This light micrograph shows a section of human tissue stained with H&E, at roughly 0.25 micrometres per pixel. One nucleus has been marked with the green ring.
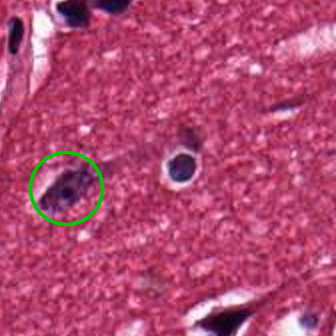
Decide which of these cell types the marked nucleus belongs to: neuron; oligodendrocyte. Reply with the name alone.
neuron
